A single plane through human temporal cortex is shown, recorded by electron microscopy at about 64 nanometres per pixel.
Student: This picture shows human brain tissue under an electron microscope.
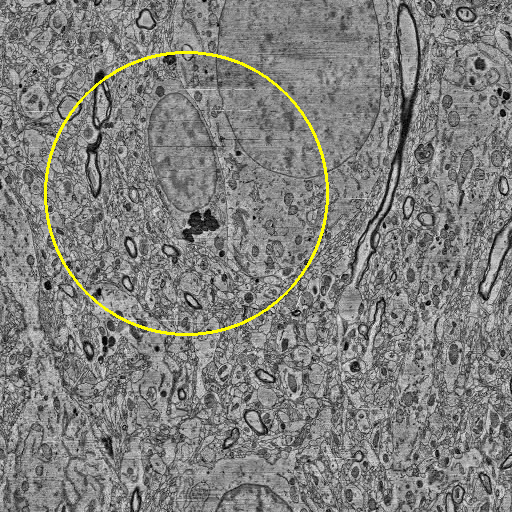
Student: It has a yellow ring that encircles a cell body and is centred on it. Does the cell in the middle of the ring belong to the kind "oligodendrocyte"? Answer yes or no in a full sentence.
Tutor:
Yes, the cell in the middle of the ring in this picture is of that kind.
